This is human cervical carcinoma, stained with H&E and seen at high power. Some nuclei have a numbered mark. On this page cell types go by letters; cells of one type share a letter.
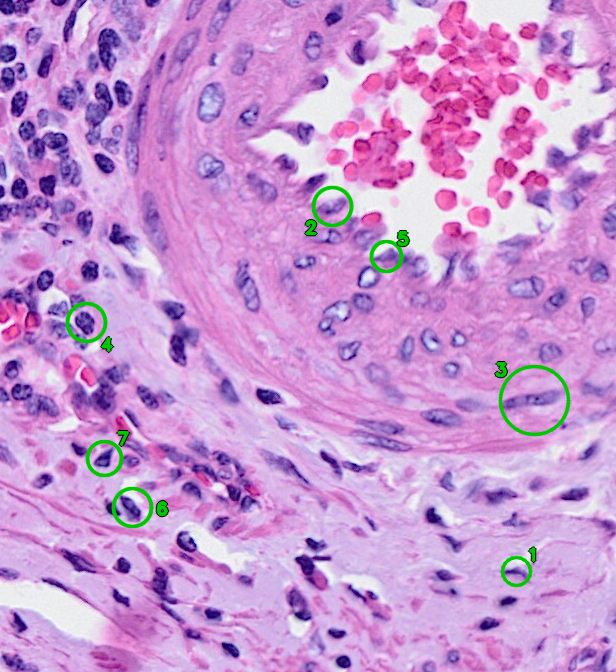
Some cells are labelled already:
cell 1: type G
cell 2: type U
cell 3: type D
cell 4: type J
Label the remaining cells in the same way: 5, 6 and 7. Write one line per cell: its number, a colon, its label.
5: type U
6: type J
7: type J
